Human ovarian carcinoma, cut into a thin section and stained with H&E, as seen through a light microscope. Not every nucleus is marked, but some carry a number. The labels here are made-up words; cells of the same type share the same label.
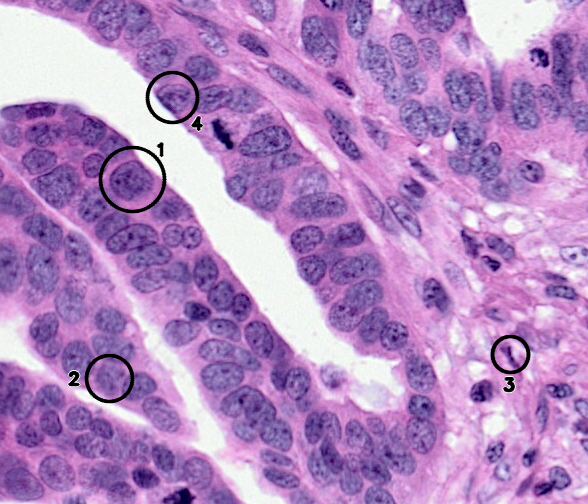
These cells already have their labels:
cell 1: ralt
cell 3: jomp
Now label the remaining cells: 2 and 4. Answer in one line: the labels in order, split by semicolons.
ralt; ralt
